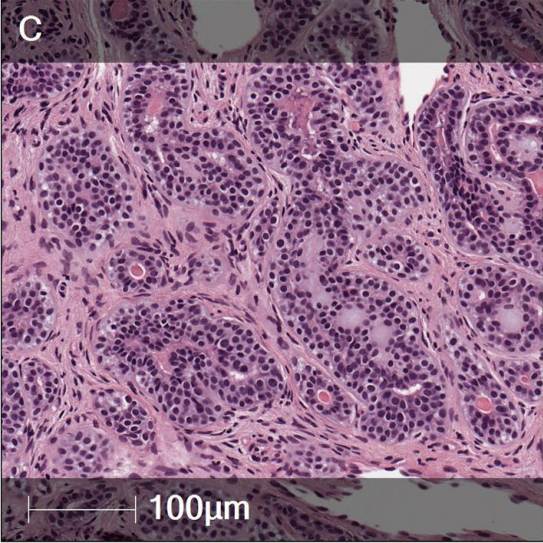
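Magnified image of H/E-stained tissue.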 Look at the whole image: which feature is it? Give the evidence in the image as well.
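Secretion in the ductal structure lumens. Small round lumens within the cell nests. Some lumens are filled with pink, homogeneous material.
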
